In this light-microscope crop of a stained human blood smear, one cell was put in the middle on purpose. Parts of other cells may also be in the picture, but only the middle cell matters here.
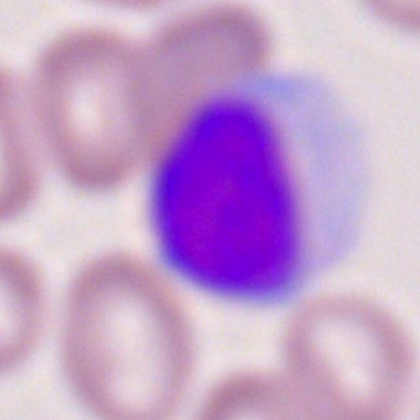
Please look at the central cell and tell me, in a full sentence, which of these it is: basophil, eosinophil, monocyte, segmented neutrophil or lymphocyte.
The central cell in this smear crop is a lymphocyte.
